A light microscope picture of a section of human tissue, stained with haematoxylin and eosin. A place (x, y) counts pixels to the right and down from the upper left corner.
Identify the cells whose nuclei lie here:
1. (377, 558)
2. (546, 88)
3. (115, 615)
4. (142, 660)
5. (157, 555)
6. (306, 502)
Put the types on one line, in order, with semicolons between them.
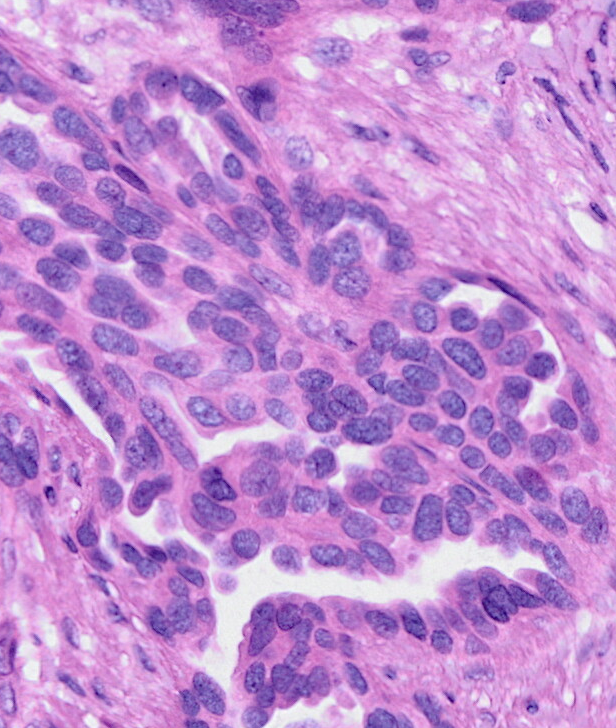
carcinoma cell; fibroblast; fibroblast; fibroblast; carcinoma cell; carcinoma cell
